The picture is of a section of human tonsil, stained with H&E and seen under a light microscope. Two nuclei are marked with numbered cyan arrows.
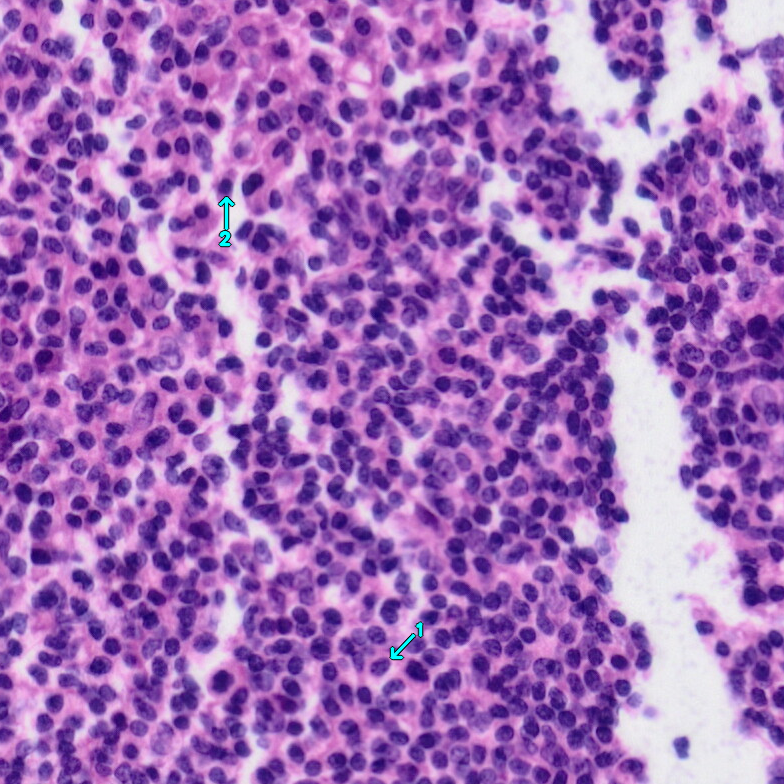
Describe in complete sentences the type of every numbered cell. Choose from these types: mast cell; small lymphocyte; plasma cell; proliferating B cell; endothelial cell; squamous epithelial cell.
Cell 1 is a small lymphocyte and cell 2 is a plasma cell.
